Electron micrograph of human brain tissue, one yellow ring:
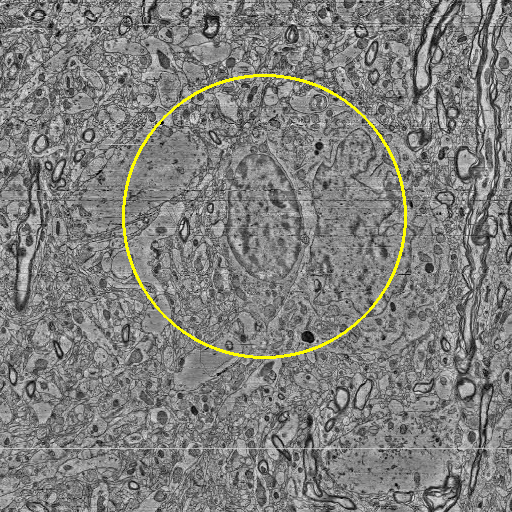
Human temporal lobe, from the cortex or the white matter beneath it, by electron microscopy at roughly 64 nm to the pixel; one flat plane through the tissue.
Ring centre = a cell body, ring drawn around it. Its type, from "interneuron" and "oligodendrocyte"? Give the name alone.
oligodendrocyte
